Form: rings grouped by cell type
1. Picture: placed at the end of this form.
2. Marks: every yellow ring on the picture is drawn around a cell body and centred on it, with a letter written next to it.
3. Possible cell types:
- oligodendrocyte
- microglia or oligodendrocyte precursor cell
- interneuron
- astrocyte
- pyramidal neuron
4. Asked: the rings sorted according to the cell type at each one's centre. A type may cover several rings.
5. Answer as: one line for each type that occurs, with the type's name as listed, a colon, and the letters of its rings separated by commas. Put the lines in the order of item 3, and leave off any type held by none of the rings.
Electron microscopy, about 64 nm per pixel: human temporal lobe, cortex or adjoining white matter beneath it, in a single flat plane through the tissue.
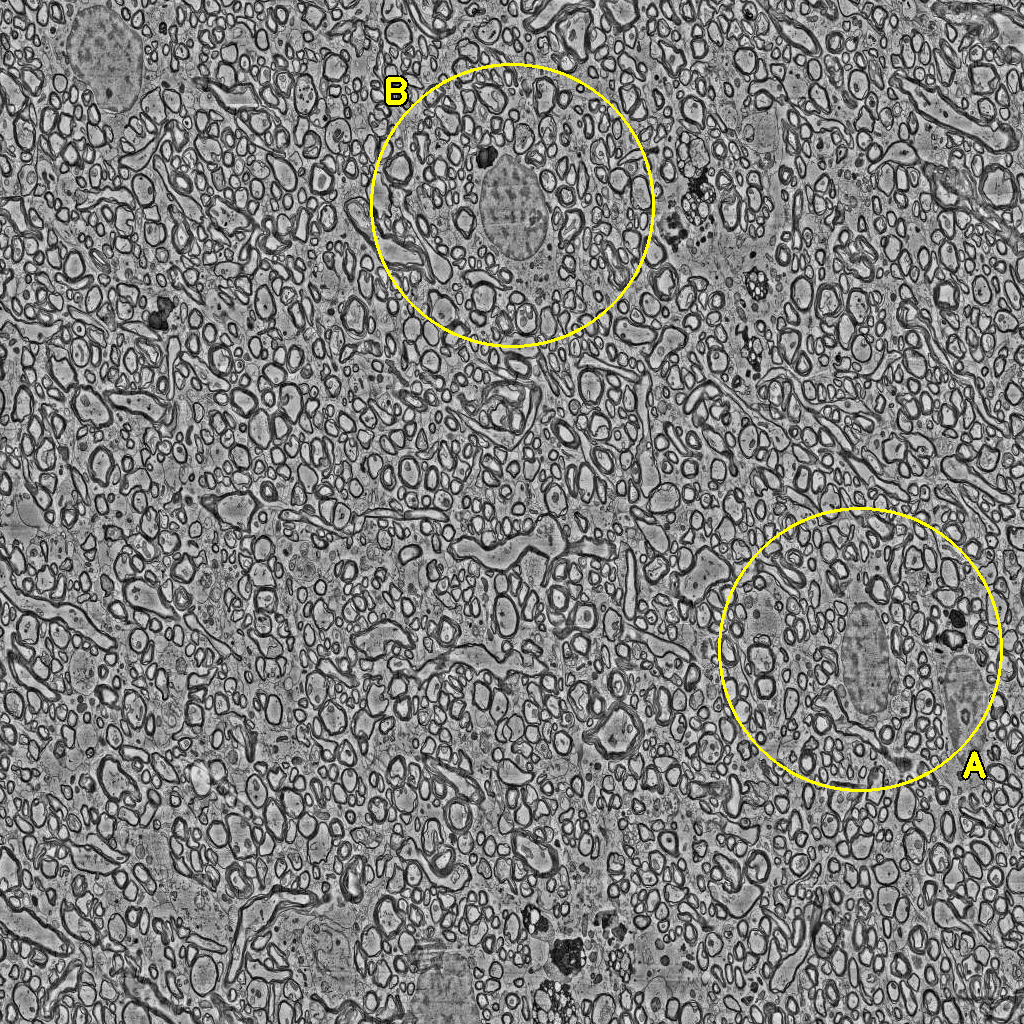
oligodendrocyte: A, B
